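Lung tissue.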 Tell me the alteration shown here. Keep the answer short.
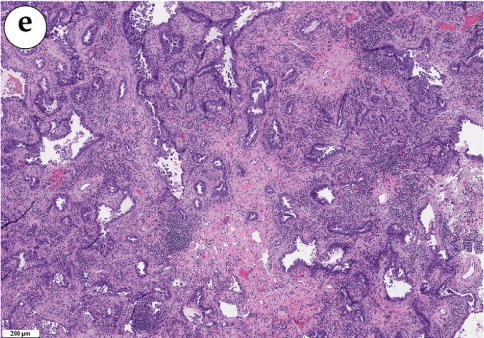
Acinar adenocarcinoma.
